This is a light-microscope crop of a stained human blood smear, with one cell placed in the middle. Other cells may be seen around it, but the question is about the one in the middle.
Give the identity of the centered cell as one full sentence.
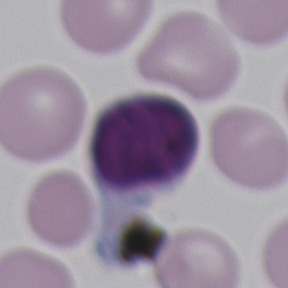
Standing at the centre of this crop is a typical lymphocyte.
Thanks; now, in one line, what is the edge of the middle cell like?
As for its outline, the cell is irregular, ragged or drawn into projections.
